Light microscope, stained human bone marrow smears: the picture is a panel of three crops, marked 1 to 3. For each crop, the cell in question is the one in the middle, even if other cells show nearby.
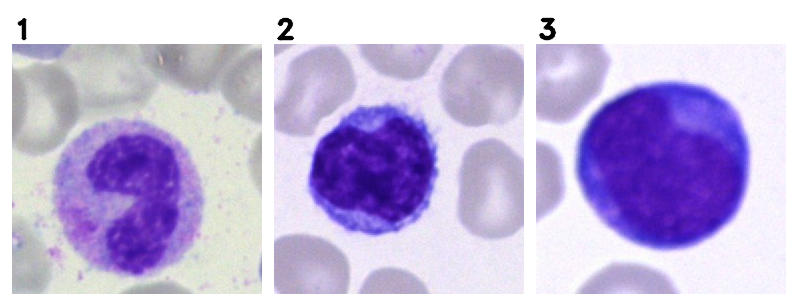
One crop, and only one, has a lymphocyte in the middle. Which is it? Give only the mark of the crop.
2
